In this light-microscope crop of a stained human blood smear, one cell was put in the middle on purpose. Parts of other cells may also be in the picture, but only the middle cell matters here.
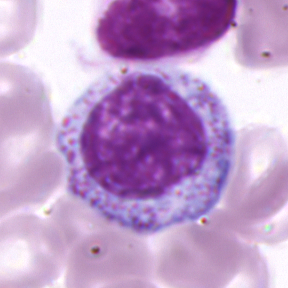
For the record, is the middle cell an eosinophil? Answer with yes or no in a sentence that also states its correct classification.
No, wrong label: the middle cell is a myelocyte instead of an eosinophil.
